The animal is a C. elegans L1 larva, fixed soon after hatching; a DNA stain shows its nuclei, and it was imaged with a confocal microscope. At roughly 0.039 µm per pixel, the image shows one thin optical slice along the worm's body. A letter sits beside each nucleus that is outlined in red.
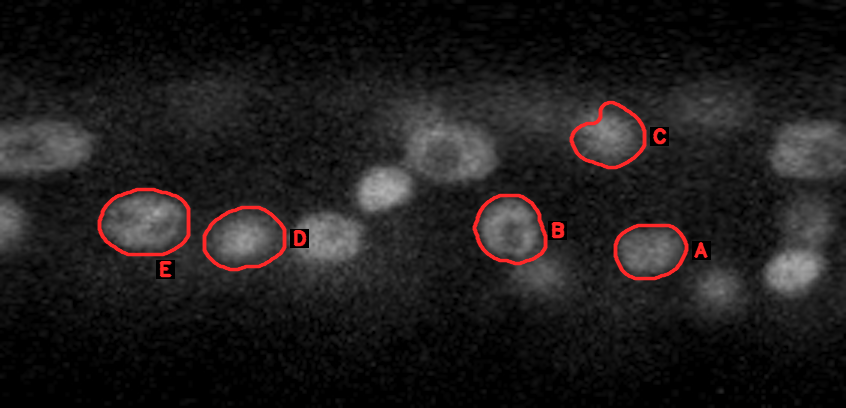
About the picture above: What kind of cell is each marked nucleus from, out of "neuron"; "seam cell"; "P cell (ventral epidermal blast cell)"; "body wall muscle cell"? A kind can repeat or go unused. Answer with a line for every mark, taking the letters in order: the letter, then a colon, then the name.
A: P cell (ventral epidermal blast cell)
B: seam cell
C: neuron
D: neuron
E: seam cell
